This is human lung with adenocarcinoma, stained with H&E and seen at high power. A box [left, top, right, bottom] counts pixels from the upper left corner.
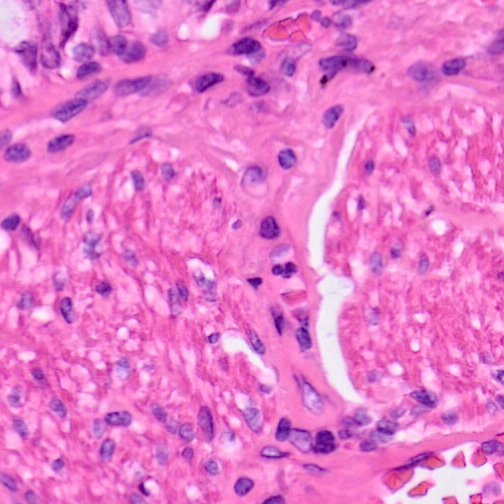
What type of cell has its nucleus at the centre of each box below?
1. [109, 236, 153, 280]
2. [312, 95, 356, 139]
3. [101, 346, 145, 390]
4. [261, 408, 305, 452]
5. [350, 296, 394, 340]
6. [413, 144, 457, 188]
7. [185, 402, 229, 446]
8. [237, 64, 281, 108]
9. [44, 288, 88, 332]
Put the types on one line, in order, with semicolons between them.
smooth muscle cell or pericyte; mast cell; smooth muscle cell or pericyte; lymphocyte; smooth muscle cell or pericyte; smooth muscle cell or pericyte; smooth muscle cell or pericyte; plasma cell; mast cell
